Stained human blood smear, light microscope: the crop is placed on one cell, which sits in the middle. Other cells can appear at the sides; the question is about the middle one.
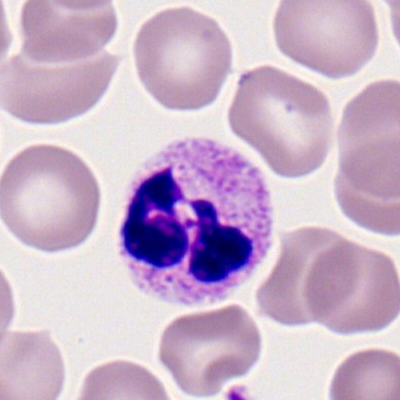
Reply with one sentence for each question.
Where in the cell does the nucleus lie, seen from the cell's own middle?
The nucleus is pushed toward the lower left of the cell.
